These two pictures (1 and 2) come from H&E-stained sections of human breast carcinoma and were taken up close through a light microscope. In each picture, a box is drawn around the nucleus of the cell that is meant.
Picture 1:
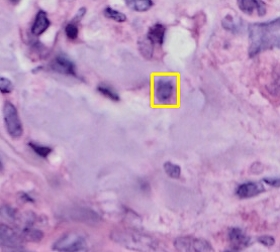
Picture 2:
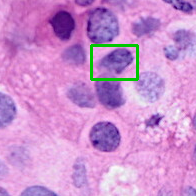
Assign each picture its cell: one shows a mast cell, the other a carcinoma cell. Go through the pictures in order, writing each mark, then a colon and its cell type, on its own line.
1: mast cell
2: carcinoma cell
